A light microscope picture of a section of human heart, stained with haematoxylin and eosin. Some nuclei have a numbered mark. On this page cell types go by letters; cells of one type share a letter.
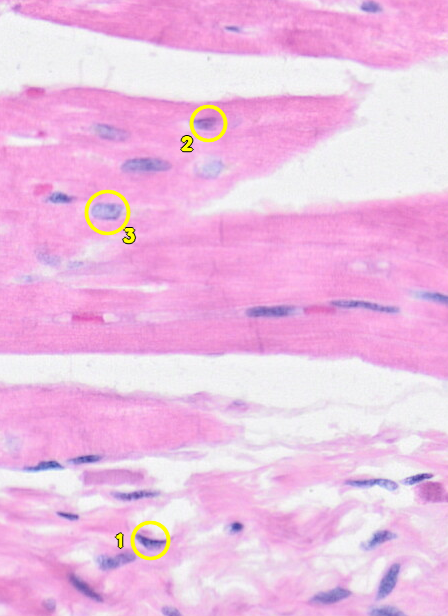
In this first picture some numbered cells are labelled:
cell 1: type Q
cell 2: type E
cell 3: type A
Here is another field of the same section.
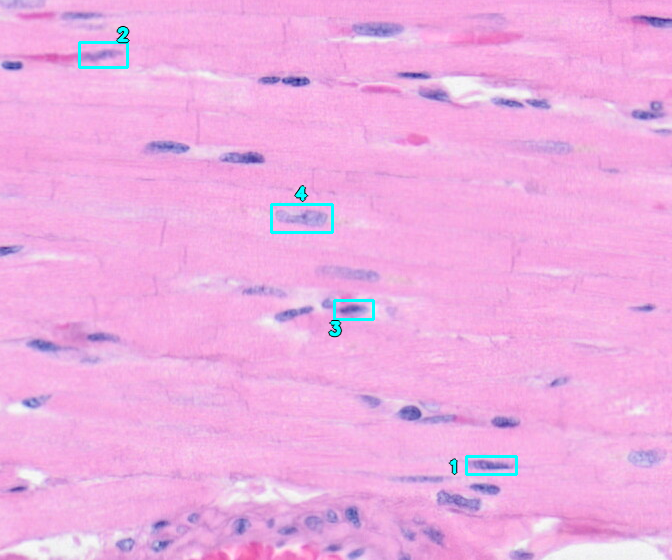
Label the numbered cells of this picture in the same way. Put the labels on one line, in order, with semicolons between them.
type E; type E; type Q; type A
